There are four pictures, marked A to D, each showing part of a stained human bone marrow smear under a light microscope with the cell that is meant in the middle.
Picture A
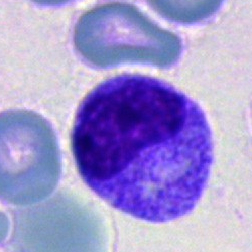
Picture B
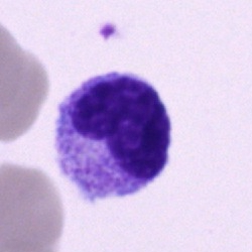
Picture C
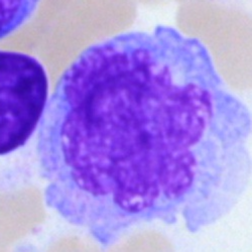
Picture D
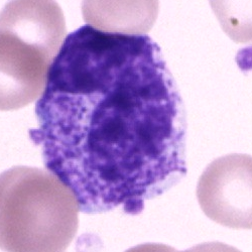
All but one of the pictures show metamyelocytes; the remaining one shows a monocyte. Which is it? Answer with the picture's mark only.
C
